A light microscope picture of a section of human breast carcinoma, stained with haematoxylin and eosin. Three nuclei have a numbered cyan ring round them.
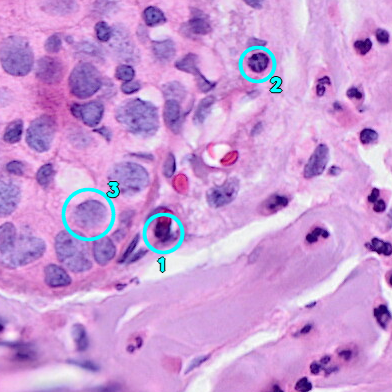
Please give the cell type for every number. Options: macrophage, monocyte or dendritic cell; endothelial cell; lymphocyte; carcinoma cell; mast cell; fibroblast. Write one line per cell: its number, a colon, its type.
1: endothelial cell
2: mast cell
3: carcinoma cell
